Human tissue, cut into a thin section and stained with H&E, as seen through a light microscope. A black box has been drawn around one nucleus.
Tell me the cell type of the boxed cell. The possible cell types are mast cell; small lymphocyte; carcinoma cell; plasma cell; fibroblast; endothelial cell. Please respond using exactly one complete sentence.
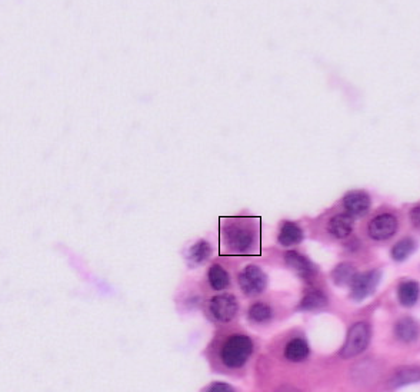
Students should answer that the boxed cell is a plasma cell.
